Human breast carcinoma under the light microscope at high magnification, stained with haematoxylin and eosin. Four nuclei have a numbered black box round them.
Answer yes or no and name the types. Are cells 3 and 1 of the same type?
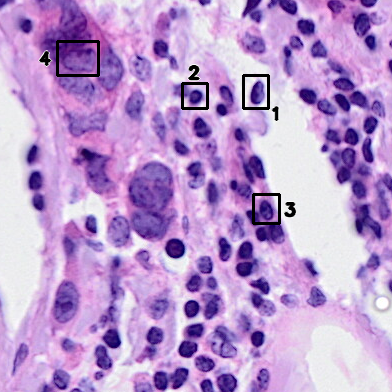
Yes, both are lymphocytes.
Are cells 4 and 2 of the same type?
No, cell 4 is a carcinoma cell and cell 2 is a lymphocyte.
